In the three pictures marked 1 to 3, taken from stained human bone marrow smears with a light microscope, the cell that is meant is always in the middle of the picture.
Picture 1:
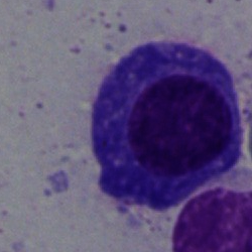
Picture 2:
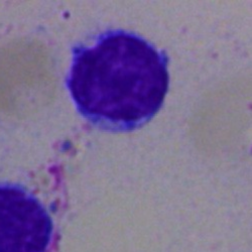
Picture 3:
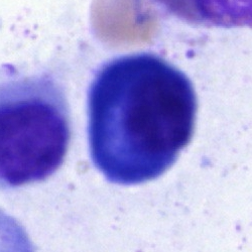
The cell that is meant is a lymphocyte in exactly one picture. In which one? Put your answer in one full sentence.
It is picture 2 that shows the lymphocyte.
